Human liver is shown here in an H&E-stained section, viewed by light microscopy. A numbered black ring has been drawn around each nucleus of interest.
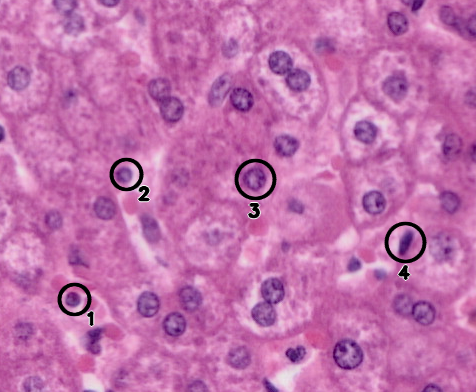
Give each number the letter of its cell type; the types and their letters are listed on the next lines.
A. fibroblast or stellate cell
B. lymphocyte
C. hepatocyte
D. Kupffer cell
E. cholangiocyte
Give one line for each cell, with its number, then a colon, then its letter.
1: B
2: B
3: C
4: A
